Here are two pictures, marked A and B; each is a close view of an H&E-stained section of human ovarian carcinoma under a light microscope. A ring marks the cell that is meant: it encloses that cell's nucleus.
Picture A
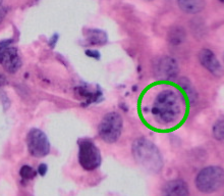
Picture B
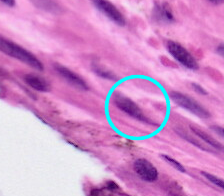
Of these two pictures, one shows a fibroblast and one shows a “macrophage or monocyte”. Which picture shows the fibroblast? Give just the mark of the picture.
B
